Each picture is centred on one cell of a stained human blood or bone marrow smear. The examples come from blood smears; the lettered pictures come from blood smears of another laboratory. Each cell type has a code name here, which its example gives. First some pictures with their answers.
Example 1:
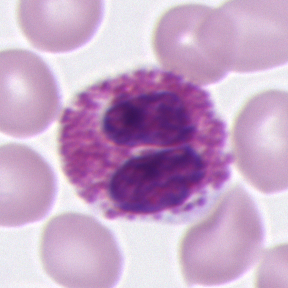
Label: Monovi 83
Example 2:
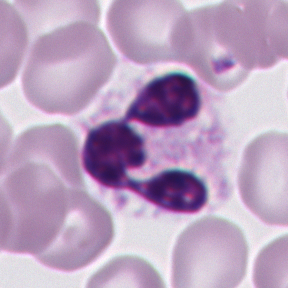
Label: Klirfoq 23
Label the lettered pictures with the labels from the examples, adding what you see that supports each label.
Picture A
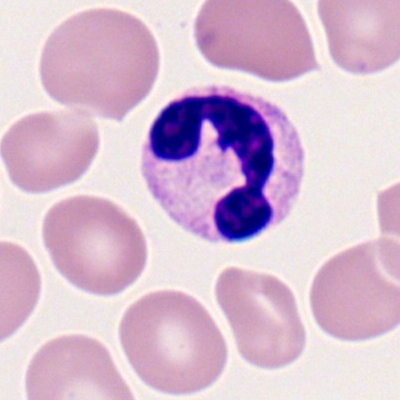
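Klirfoq 23. Evidence: The cytoplasm is dusted with fine, faint lilac granules.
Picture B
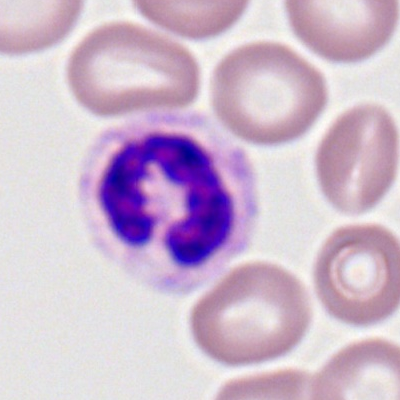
Klirfoq 23. Evidence: The cytoplasm contains fine pinkish-lilac granules.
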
